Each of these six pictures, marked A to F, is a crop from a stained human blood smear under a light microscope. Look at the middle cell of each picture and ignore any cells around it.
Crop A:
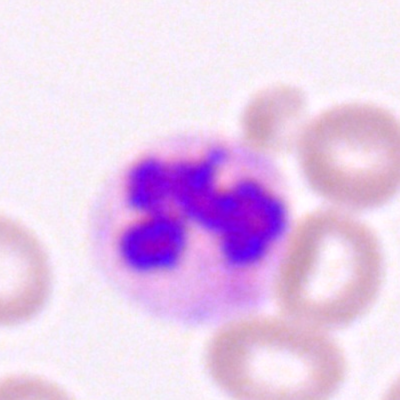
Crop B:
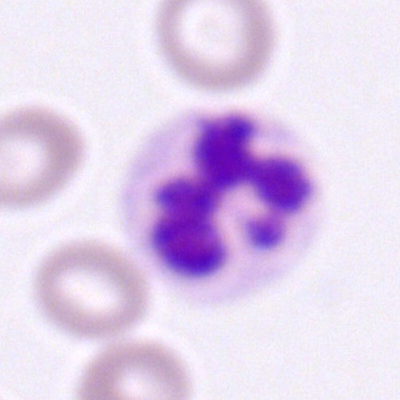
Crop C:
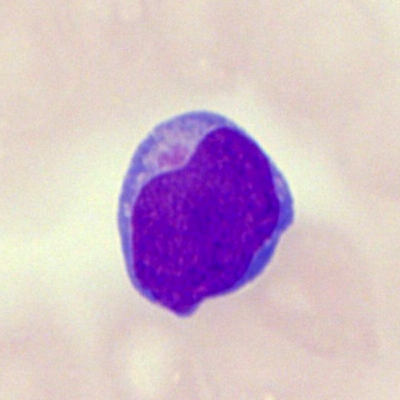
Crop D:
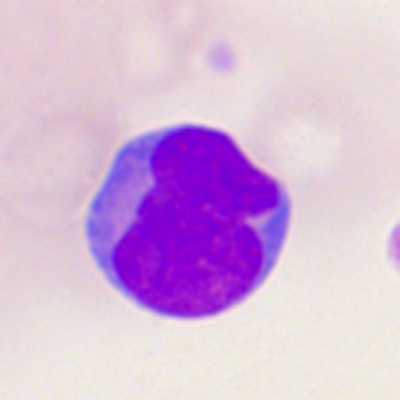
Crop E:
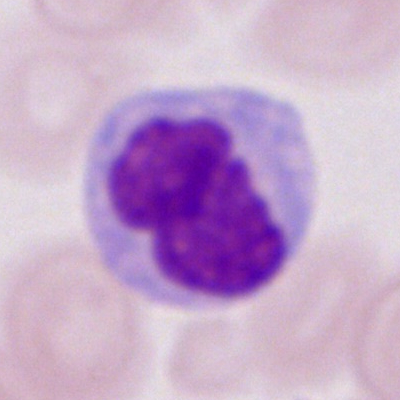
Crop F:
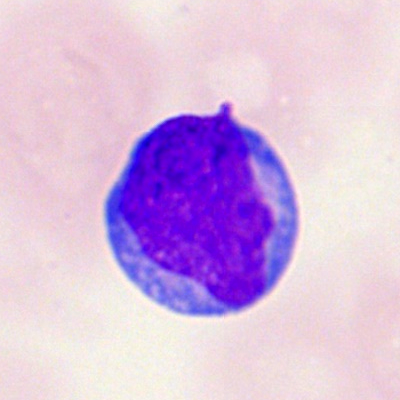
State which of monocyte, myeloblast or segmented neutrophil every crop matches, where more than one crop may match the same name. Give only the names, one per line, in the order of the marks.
segmented neutrophil
segmented neutrophil
myeloblast
myeloblast
monocyte
myeloblast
